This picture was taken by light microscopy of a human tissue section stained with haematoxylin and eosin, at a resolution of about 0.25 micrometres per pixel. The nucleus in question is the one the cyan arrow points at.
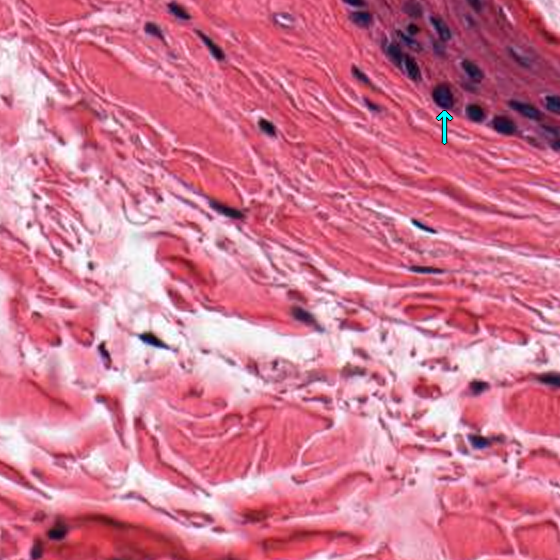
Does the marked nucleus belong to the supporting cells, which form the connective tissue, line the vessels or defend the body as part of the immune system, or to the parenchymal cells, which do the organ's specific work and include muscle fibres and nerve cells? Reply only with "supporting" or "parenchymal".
parenchymal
